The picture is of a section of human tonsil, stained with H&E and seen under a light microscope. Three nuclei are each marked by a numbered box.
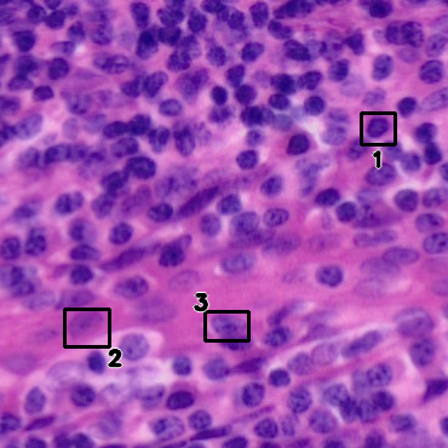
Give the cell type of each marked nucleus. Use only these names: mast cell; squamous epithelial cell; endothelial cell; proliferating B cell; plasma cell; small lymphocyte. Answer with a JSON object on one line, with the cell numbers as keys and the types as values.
{"1": "plasma cell", "2": "squamous epithelial cell", "3": "squamous epithelial cell"}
